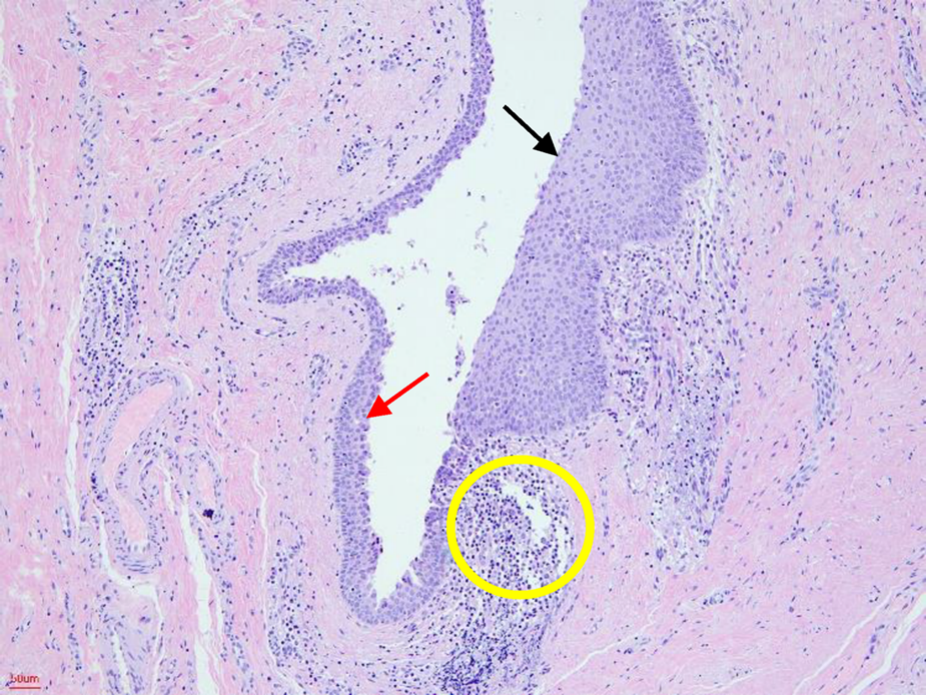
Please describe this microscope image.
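This is the wall of a cyst, lined partly by stratified squamous epithelium and partly by columnar respiratory epithelium, with lymphocytes gathered in the wall. On one side of the slit-like lumen the lining is a thick sheet of many layers of closely packed polygonal cells with pale purple cytoplasm. On the opposite side it becomes a thin band of tall, narrow cells whose elongated nuclei stand at different heights. Beneath the lining lies a dense cluster of small, dark round nuclei. Scattered small dark nuclei also lie in the surrounding pink fibrous wall, which contains vessels.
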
